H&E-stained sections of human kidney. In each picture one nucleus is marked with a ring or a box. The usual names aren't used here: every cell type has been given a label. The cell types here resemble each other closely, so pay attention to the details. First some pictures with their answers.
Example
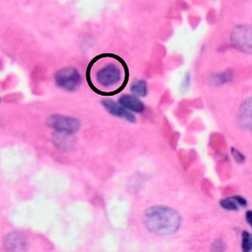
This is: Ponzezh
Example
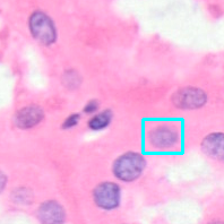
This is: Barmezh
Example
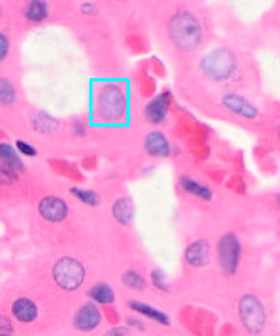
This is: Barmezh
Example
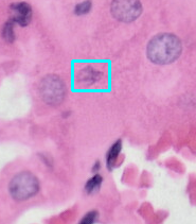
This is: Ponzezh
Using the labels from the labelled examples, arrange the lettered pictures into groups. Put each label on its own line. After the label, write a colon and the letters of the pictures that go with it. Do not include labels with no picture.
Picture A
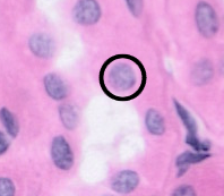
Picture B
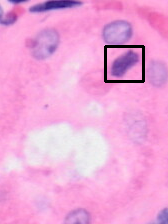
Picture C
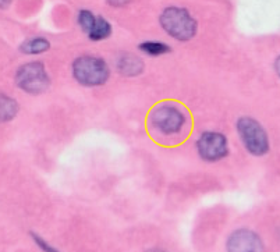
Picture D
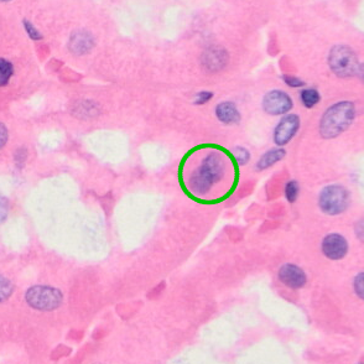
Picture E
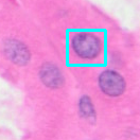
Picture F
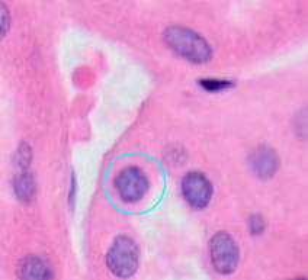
Ponzezh: B, C, D, E
Barmezh: A, F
